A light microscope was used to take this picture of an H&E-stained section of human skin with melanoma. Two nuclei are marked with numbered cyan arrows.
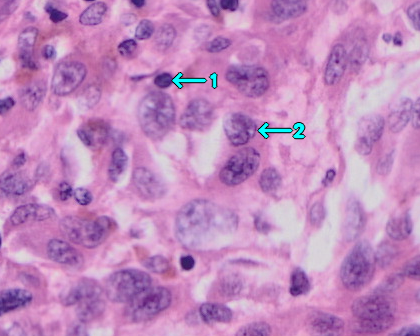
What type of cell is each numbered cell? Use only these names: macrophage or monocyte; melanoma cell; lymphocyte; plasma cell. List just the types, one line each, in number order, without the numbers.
lymphocyte
melanoma cell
